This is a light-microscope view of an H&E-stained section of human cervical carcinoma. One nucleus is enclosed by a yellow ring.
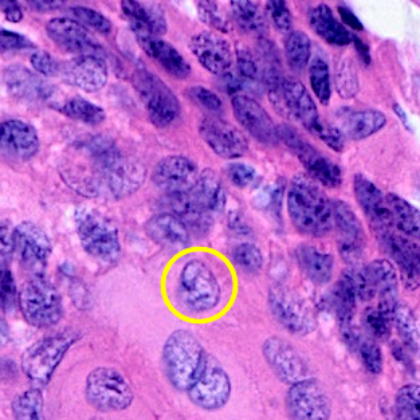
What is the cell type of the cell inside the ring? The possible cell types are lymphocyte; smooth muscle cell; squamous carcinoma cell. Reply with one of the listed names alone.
squamous carcinoma cell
